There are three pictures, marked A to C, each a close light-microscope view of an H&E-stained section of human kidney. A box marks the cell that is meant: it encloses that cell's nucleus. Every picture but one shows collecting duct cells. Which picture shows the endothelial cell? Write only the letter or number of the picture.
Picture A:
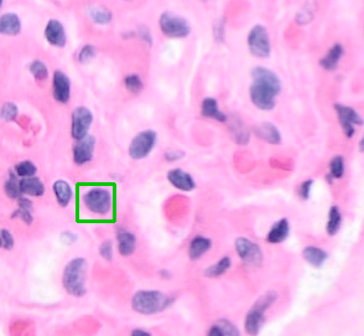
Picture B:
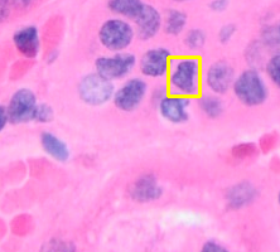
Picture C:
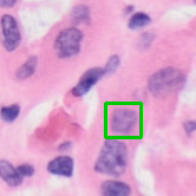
A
